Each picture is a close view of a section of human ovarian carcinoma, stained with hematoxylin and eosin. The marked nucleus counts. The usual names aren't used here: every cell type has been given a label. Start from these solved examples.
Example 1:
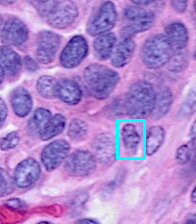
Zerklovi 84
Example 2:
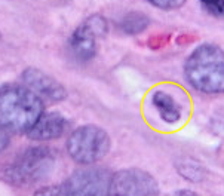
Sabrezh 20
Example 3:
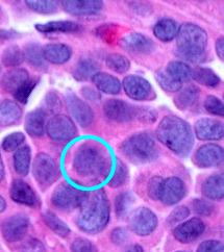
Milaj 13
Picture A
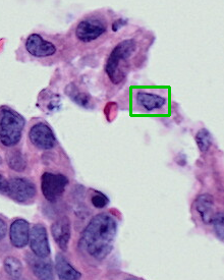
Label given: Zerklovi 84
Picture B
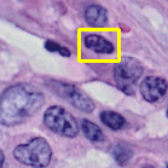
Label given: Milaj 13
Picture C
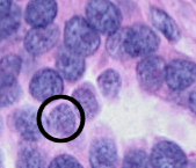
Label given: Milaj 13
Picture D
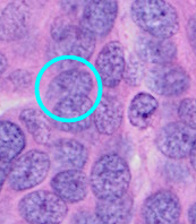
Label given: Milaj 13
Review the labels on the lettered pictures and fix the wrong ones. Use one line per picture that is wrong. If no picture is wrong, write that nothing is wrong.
B is labelled Milaj 13; correct label: Sabrezh 20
